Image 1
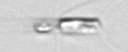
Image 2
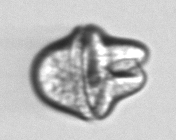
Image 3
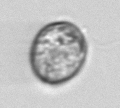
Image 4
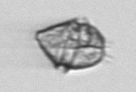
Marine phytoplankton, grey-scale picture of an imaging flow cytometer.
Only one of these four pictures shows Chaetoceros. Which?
Picture 1.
